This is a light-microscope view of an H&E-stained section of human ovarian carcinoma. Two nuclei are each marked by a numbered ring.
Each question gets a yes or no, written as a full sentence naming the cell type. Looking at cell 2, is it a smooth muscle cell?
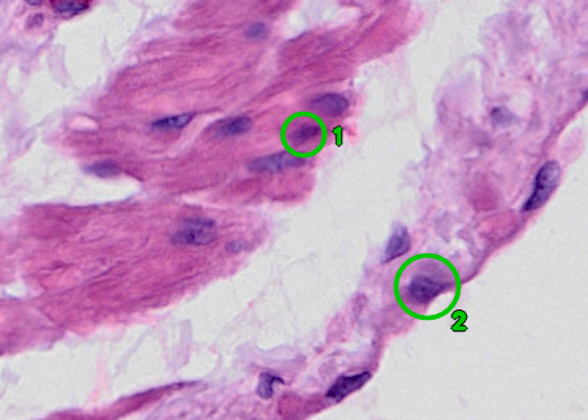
No, the cell tagged 2 is an endothelial cell, not a smooth muscle cell.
